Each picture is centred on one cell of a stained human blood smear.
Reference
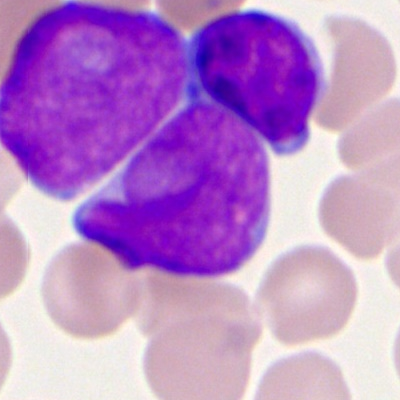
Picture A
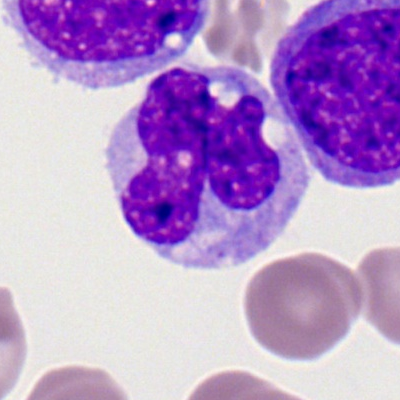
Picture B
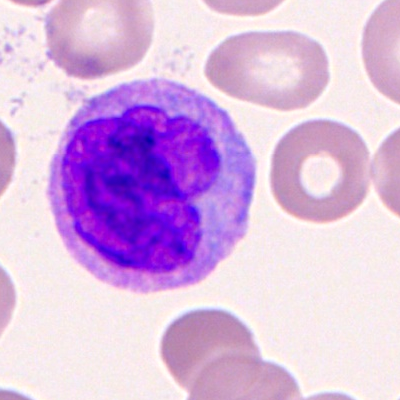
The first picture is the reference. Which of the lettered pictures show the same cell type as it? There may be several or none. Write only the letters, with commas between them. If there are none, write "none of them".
none of them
